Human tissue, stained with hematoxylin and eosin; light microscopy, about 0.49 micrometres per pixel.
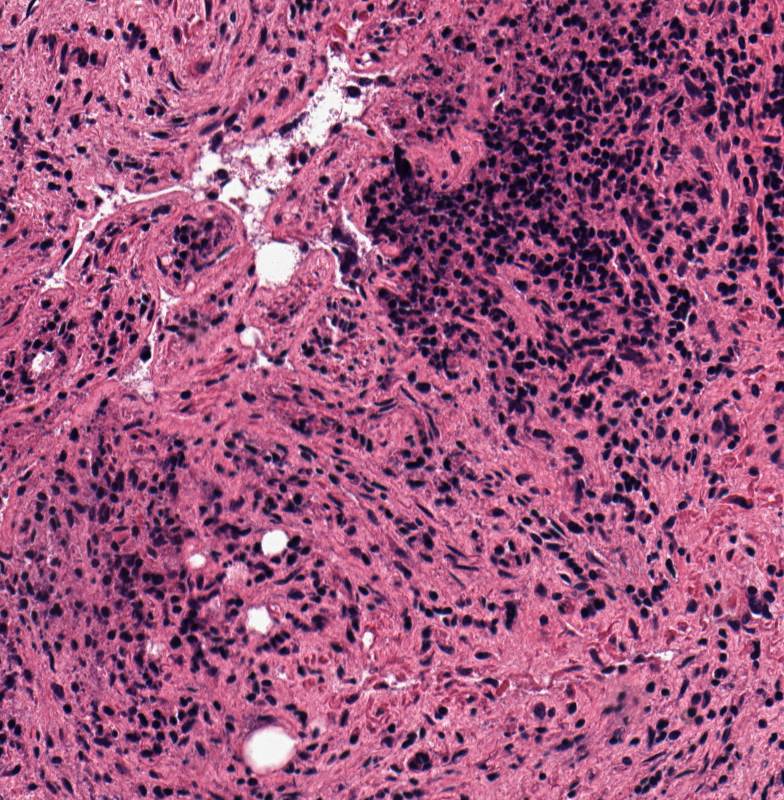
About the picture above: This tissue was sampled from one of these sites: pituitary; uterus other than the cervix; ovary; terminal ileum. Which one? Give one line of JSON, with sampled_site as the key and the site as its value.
{"sampled_site": "terminal ileum"}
